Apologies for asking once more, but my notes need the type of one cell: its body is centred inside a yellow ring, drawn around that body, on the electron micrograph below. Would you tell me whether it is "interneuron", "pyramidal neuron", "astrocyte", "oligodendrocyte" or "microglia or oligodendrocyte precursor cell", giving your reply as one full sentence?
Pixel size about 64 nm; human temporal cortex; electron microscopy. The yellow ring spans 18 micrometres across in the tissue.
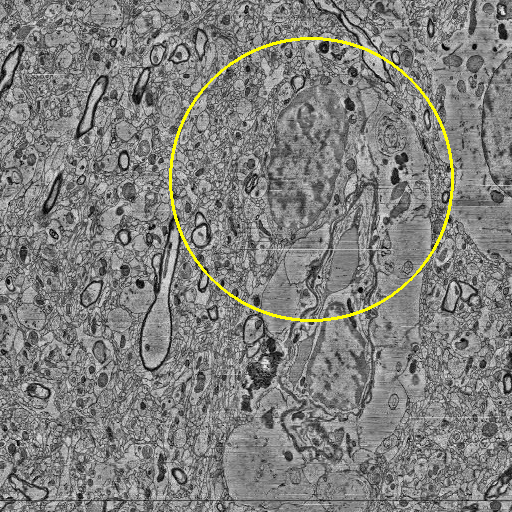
The cell that the yellow ring is centred on is an oligodendrocyte in this micrograph.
